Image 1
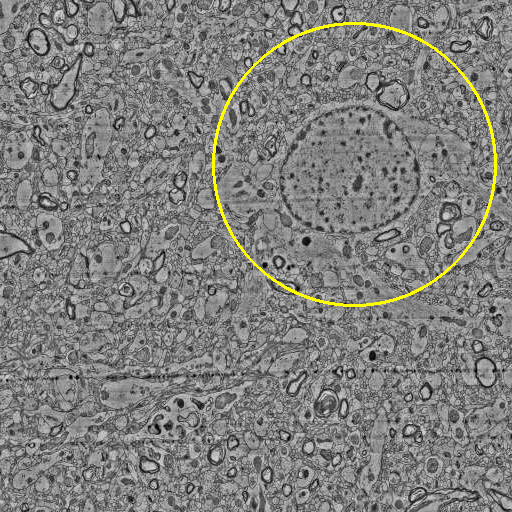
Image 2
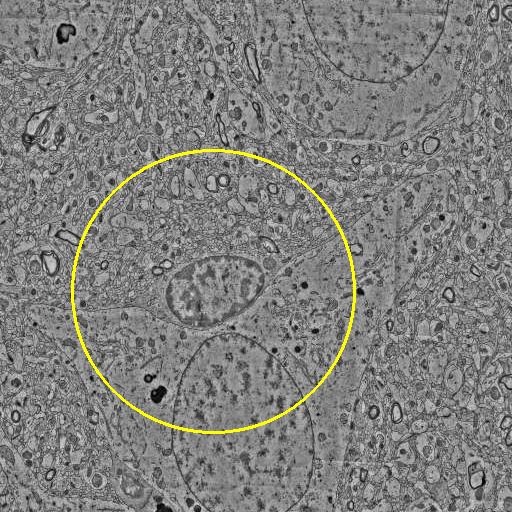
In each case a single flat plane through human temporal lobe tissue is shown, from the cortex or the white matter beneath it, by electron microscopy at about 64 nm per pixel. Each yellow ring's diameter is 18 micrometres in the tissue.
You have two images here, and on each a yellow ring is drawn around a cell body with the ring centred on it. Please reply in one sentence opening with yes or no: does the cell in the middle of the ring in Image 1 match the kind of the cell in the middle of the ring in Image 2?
No, the two images show cells of two kinds at the centres of their rings.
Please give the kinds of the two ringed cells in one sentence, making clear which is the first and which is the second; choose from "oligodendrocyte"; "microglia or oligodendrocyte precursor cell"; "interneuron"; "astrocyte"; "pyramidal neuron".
In the second picture the ringed cell is an oligodendrocyte; in the first it is an astrocyte.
